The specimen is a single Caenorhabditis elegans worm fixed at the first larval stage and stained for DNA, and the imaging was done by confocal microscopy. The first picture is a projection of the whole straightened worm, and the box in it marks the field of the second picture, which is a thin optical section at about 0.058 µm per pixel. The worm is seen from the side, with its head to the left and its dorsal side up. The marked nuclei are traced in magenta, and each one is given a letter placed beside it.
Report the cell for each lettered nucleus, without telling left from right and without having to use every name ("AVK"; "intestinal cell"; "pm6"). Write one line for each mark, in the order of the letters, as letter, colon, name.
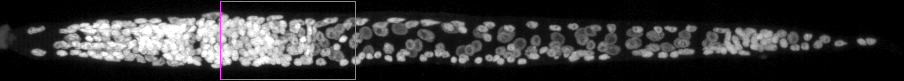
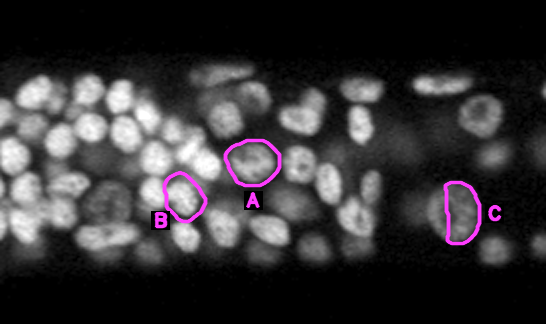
A: pm6
B: AVK
C: intestinal cell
